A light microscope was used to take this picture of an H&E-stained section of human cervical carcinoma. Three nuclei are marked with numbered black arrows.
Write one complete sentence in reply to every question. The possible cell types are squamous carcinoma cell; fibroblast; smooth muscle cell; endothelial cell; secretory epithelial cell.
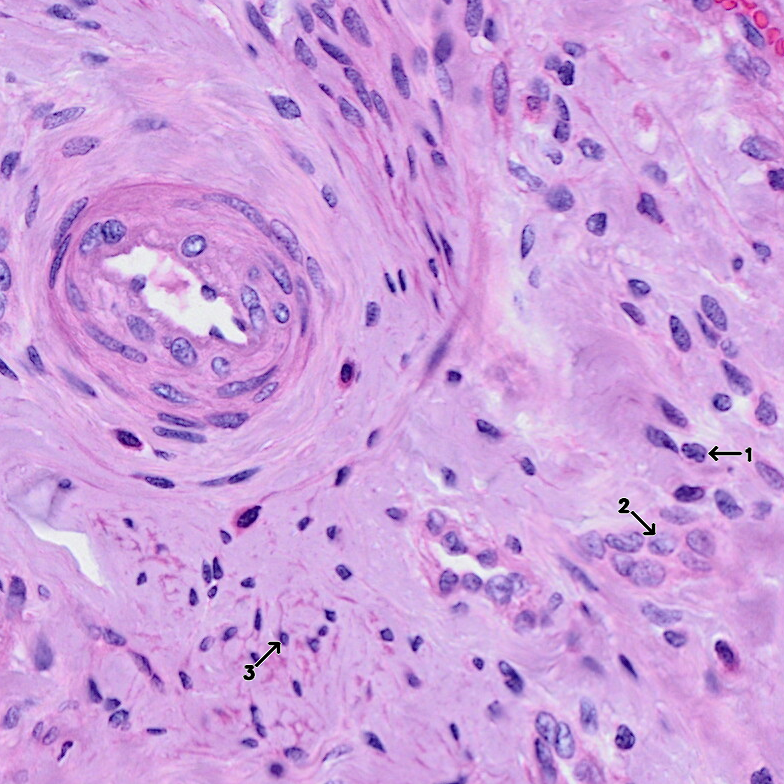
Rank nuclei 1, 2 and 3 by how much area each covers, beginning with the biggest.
The nuclei rank 2, 1, 3, from largest to smallest.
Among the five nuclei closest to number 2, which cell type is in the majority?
Around number 2, most of the five nearest nuclei are those of endothelial cells.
